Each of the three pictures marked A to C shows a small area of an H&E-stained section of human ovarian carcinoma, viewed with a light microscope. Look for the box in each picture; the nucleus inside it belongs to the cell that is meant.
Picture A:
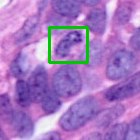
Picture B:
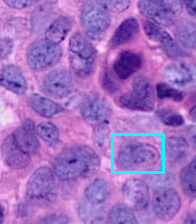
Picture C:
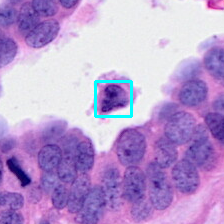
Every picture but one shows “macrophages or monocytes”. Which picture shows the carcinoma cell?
B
